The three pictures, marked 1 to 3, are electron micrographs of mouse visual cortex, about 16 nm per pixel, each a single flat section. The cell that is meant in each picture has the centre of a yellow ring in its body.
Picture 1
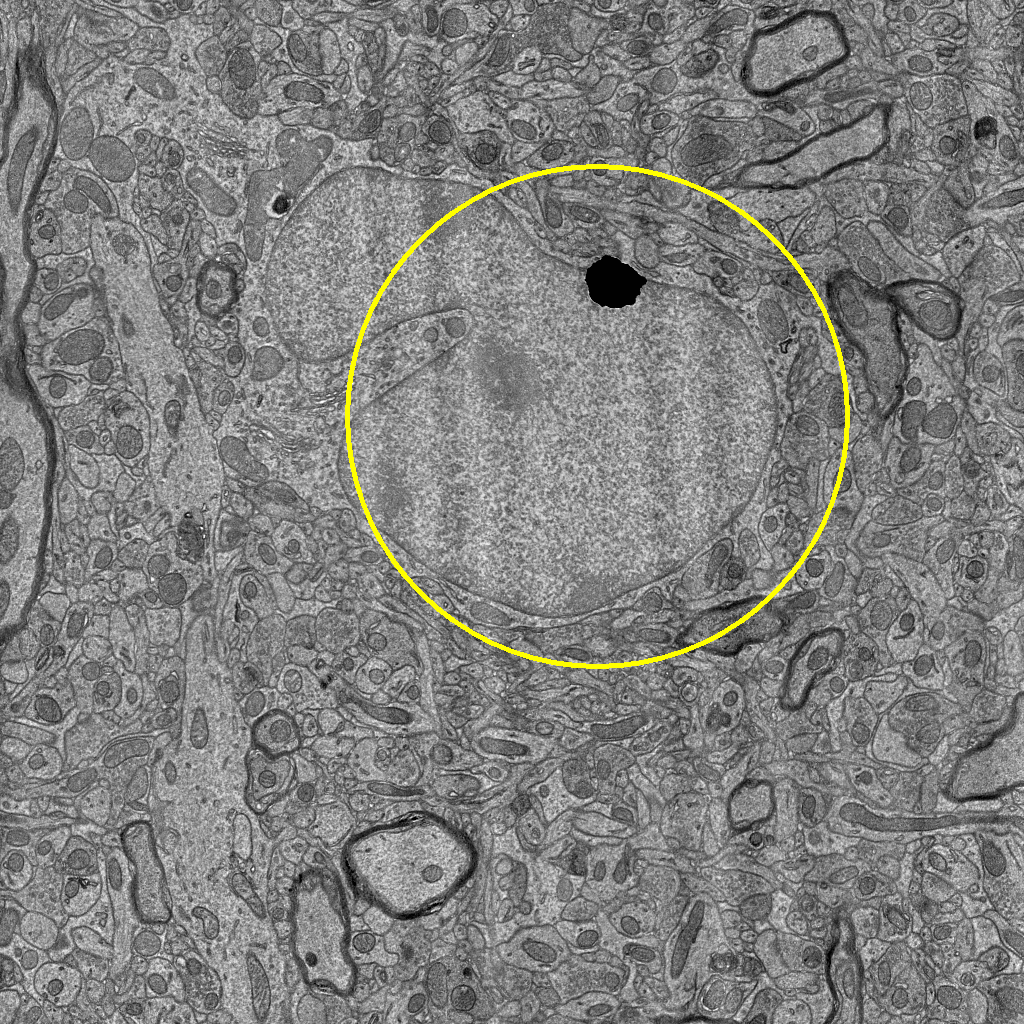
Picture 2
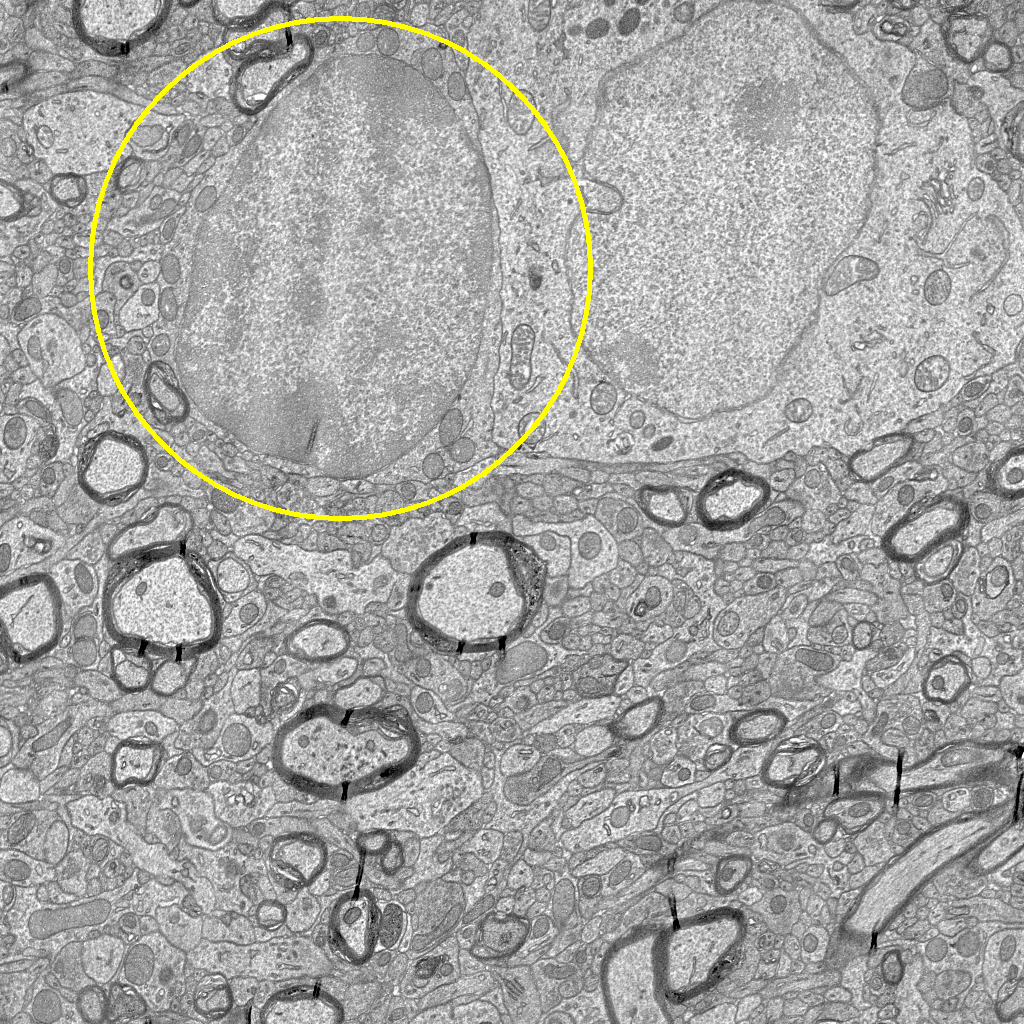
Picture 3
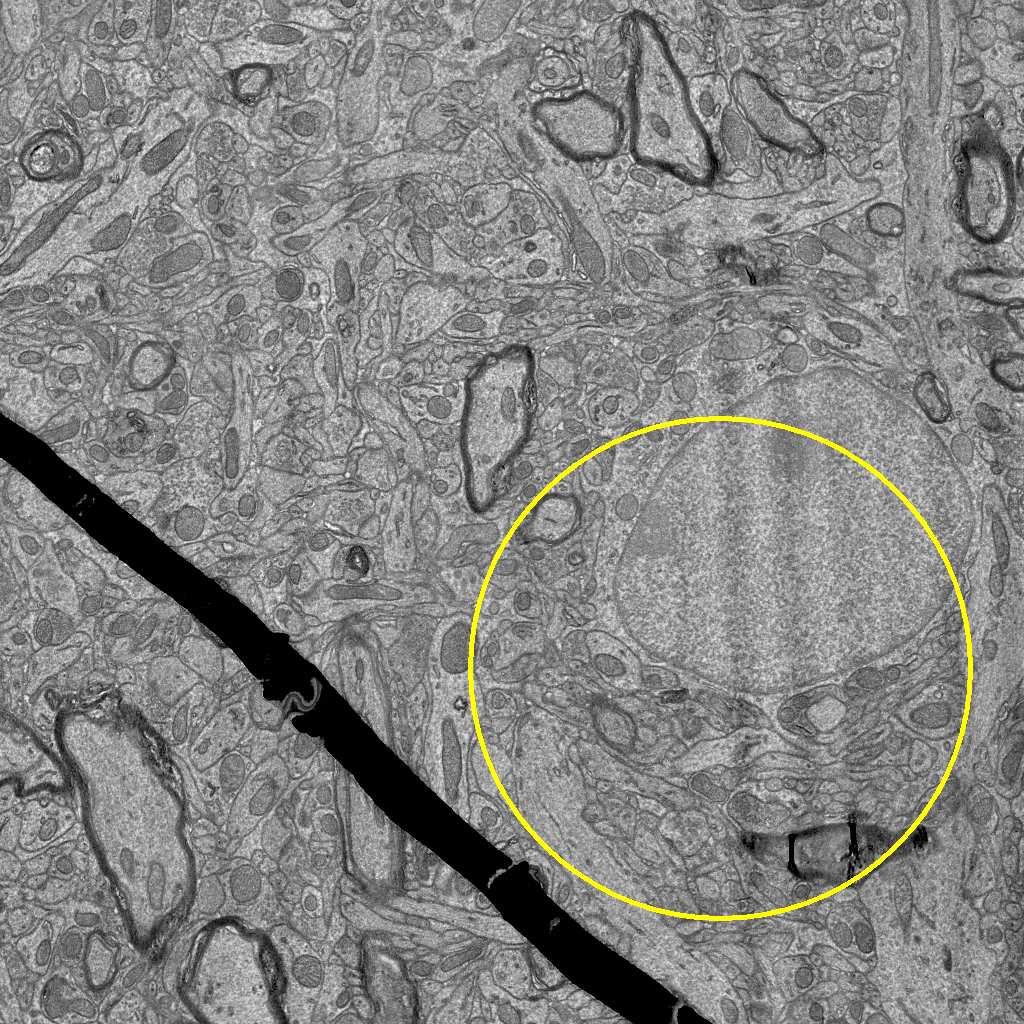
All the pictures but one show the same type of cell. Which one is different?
The different one is picture 2; it shows an oligodendrocyte, whereas all the others show astrocytes.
